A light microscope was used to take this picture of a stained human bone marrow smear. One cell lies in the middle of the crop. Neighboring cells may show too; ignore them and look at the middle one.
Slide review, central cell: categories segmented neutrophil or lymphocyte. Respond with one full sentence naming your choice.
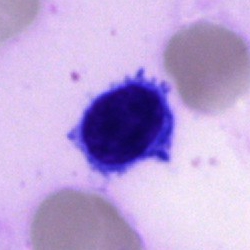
To answer, the cell in the center of the crop is a lymphocyte.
